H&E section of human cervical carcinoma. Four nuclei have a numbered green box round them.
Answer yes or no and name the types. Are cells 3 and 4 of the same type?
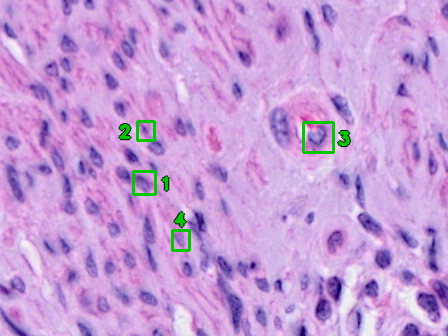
No, unlike cell 3, which is an endothelial cell, cell 4 is a smooth muscle cell.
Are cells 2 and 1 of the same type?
Yes: cells 2 and 1 are both smooth muscle cells.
